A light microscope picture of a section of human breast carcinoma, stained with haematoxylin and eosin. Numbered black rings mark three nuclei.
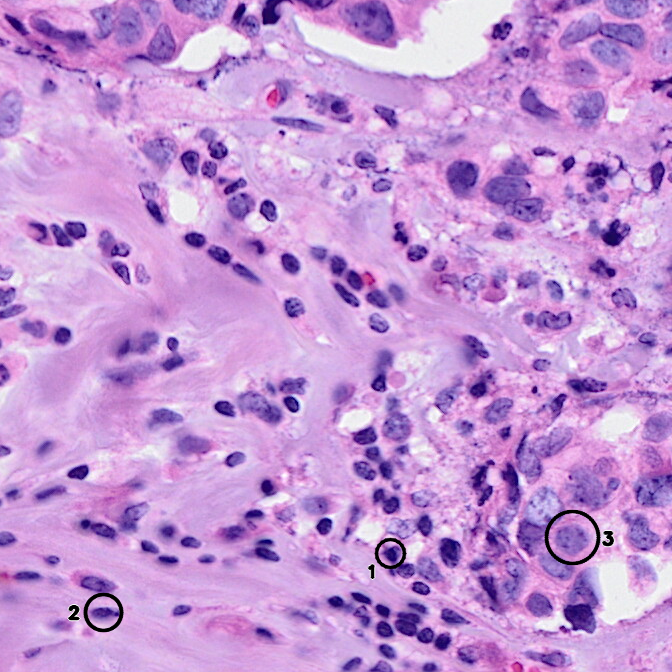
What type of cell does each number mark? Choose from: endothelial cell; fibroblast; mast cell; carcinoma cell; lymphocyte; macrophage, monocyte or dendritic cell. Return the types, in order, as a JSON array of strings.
["lymphocyte", "lymphocyte", "carcinoma cell"]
